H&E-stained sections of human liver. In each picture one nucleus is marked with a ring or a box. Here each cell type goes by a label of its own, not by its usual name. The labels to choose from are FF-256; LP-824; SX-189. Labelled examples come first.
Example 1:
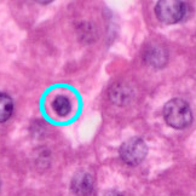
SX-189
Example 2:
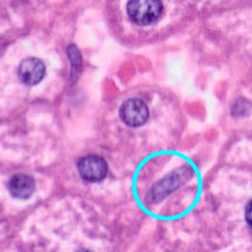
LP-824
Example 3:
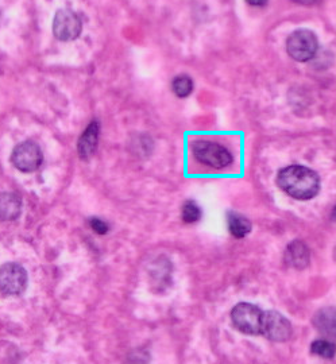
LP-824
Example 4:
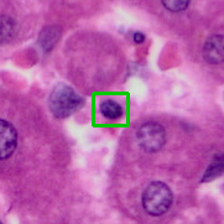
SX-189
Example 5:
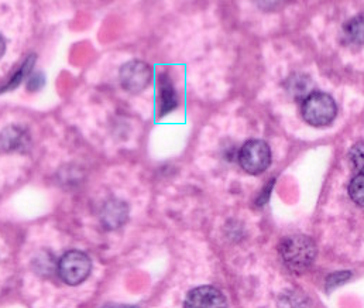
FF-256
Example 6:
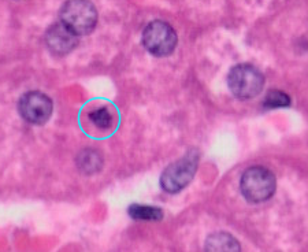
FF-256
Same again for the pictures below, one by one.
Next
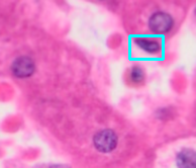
FF-256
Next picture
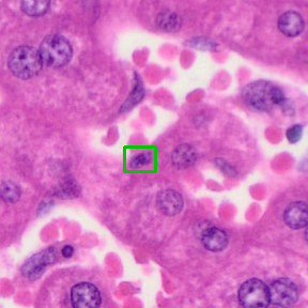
FF-256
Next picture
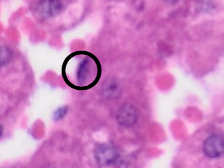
FF-256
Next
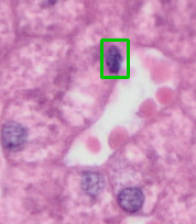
FF-256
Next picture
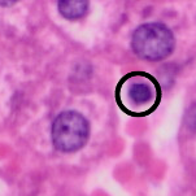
SX-189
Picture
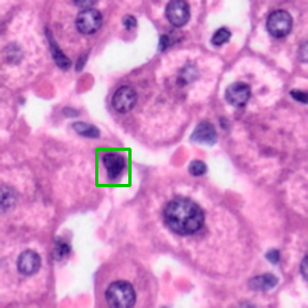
LP-824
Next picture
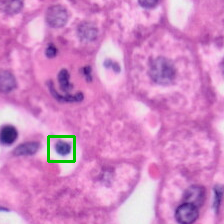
SX-189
